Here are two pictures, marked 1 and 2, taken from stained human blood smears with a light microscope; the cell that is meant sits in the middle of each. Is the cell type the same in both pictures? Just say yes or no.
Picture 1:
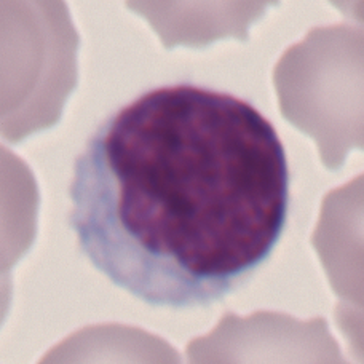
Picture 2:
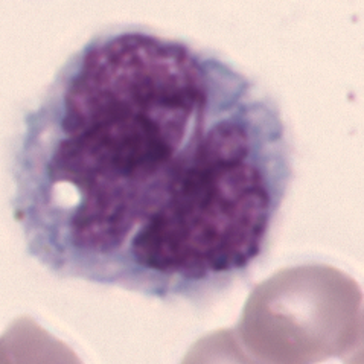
no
